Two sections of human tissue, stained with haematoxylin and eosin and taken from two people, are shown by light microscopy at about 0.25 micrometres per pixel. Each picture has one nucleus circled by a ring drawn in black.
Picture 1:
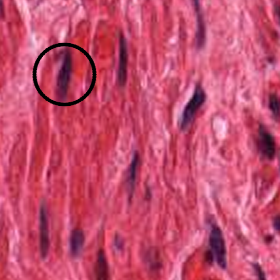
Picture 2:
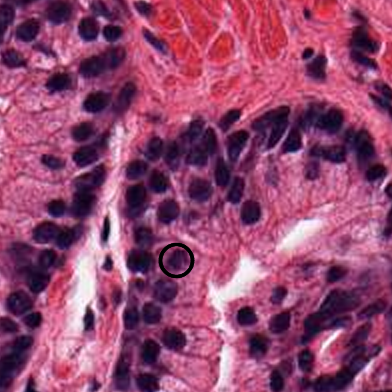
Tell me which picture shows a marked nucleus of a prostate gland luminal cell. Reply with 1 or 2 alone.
2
